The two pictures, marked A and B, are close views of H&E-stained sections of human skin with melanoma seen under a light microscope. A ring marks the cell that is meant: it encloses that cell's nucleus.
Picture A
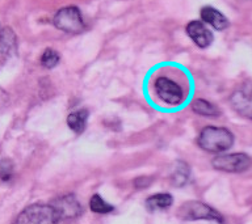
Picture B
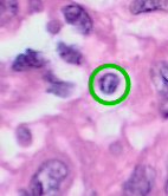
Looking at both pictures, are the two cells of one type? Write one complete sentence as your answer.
No, they differ: the cell is a plasma cell in picture A and a lymphocyte in picture B.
